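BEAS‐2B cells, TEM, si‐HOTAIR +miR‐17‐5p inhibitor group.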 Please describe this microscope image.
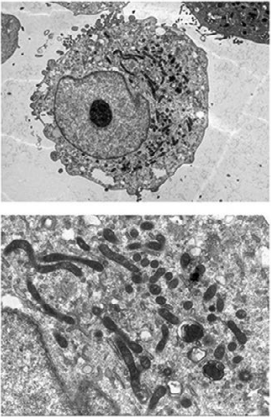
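Transmission electron micrographs of a rounded cultured cell with a central oval nucleus holding a large dark nucleolus, with dense bodies and vacuoles gathered in the cytoplasm to one side of the nucleus. The enlarged view shows elongated mitochondria beside round membrane-bound vacuoles with dark or mixed contents.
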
